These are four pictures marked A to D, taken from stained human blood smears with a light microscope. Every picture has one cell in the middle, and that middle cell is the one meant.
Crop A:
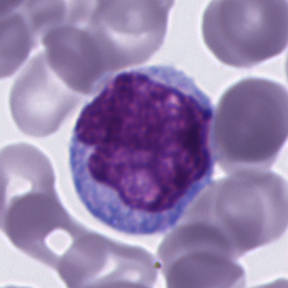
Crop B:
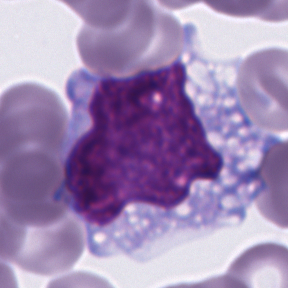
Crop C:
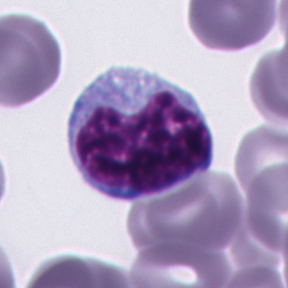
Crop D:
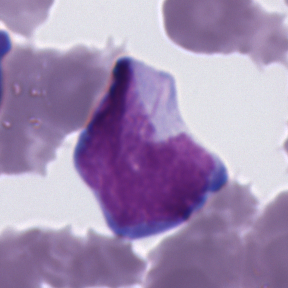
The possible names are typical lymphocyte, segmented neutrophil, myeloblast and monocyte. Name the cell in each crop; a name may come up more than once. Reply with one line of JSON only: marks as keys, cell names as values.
{"A": "monocyte", "B": "monocyte", "C": "typical lymphocyte", "D": "myeloblast"}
